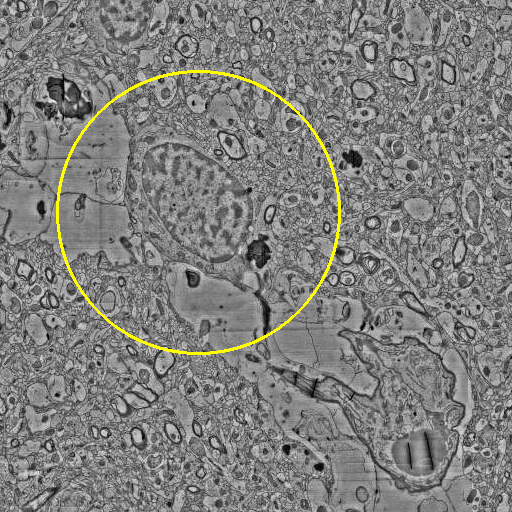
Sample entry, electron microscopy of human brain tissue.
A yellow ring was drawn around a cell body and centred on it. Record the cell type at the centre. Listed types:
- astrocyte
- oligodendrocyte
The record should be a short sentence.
The cell at the ring's centre is an oligodendrocyte.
